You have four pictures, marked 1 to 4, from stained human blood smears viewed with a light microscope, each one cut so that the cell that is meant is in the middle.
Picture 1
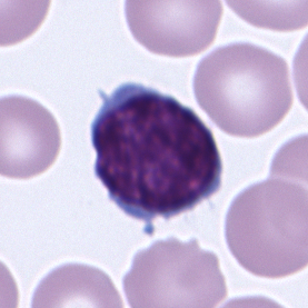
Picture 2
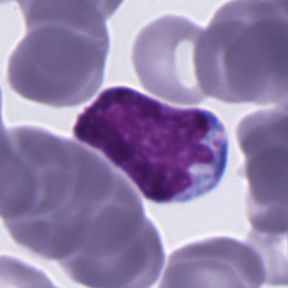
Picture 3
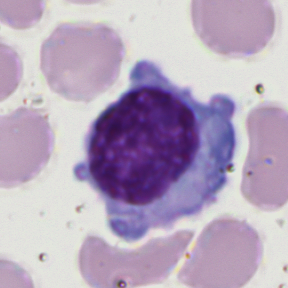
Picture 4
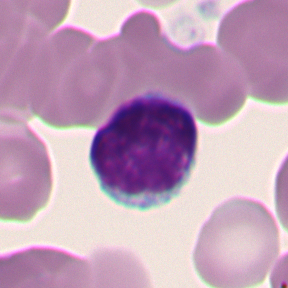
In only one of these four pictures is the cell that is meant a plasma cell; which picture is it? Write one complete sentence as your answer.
The picture with the plasma cell is 3.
